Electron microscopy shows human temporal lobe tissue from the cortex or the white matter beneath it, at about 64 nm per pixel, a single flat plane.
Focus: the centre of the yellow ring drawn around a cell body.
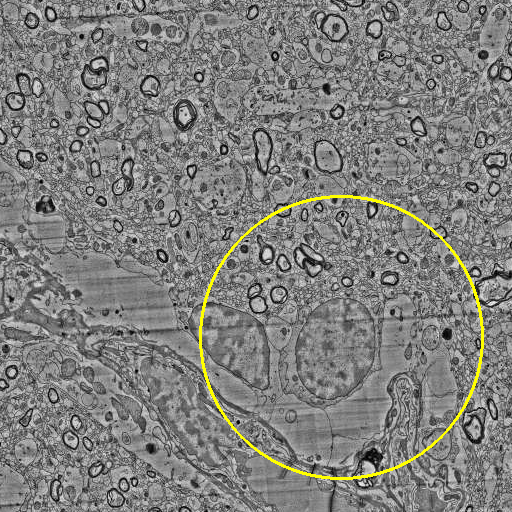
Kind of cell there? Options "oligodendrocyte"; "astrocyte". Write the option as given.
oligodendrocyte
